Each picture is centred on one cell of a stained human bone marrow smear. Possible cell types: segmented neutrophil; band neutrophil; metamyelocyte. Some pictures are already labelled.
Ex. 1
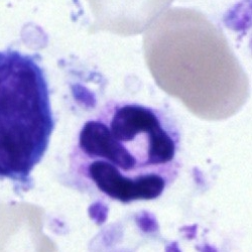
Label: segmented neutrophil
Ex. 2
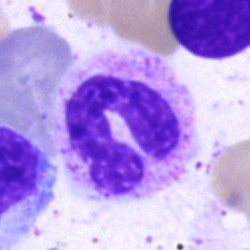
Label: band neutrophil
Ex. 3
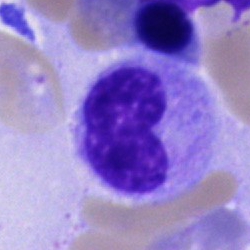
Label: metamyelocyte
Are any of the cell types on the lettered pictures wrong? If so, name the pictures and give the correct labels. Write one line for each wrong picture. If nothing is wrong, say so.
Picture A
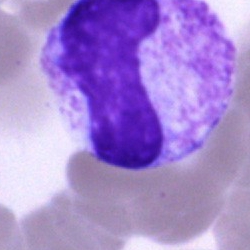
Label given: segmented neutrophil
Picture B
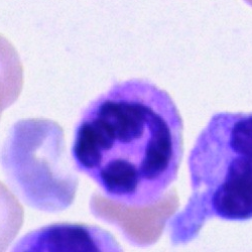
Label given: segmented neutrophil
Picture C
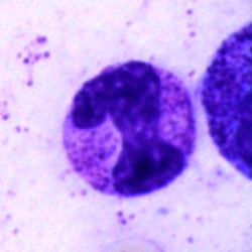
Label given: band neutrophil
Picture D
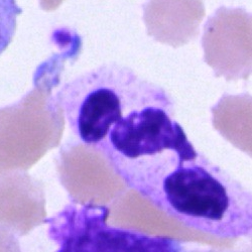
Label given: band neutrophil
A should be band neutrophil, not segmented neutrophil
D should be segmented neutrophil, not band neutrophil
